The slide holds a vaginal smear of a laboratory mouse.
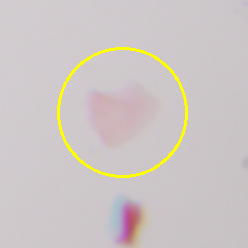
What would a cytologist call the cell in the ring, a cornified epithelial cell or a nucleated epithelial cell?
A cytologist would call it a cornified epithelial cell.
